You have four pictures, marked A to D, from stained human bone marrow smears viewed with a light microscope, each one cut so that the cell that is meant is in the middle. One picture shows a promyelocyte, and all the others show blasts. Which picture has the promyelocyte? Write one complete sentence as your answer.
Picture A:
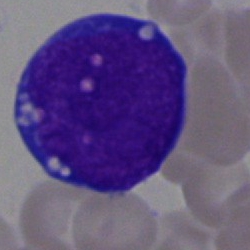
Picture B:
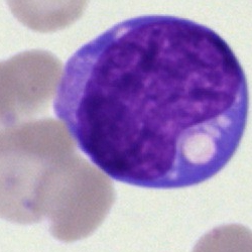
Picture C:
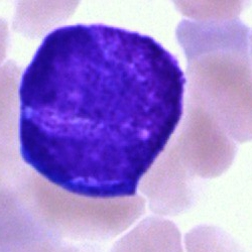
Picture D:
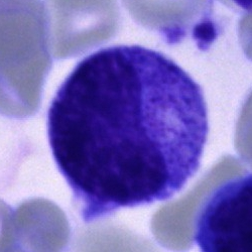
The cell in picture D is the promyelocyte.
